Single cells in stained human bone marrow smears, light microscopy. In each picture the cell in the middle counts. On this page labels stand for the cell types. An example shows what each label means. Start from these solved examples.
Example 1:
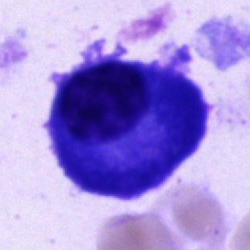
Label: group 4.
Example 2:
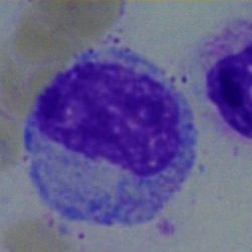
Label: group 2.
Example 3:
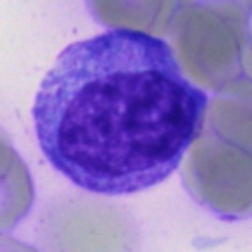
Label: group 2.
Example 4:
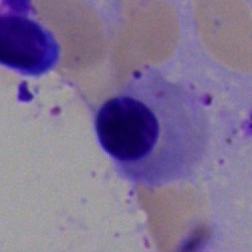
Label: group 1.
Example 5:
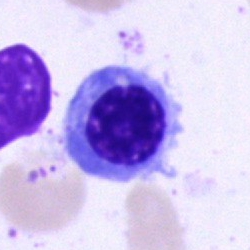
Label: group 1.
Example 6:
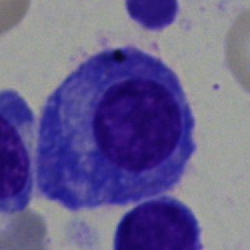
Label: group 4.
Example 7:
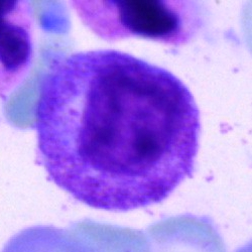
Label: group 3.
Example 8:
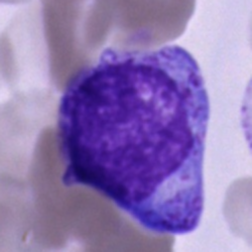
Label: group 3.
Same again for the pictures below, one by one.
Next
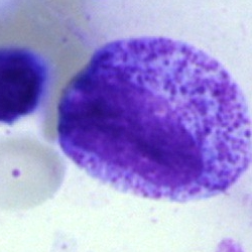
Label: group 3.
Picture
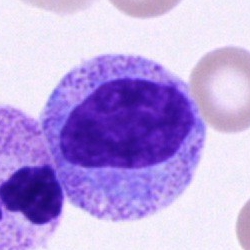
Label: group 2.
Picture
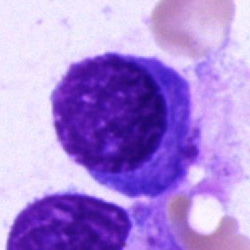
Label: group 4.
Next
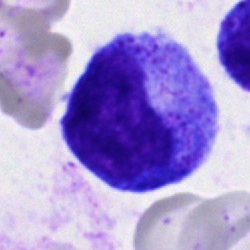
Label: group 3.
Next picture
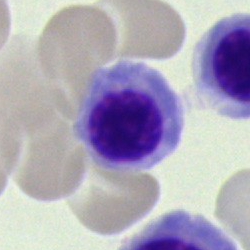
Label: group 1.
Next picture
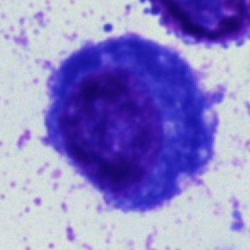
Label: group 4.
